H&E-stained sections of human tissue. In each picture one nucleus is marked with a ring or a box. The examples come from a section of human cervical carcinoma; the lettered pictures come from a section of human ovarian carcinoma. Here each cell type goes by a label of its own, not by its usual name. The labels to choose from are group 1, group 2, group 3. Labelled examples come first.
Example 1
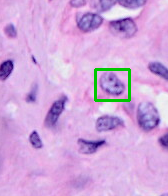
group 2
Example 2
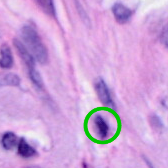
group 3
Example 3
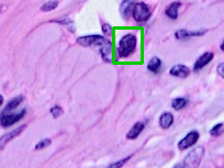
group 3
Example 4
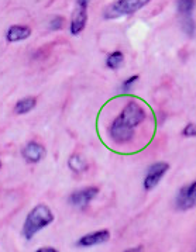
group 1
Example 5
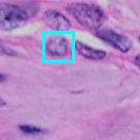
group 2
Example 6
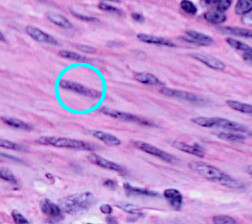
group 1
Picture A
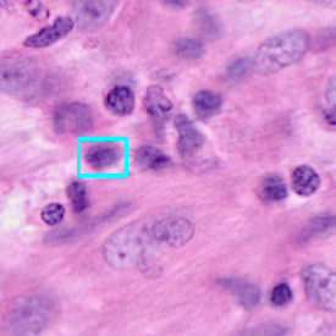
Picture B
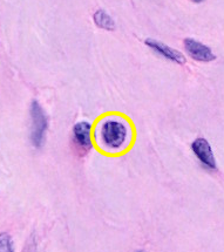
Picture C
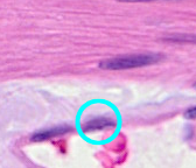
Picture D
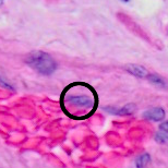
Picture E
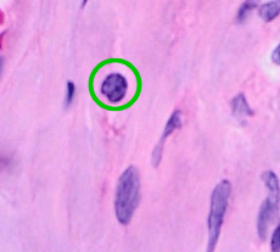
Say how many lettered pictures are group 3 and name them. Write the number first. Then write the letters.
3, namely A, B, E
